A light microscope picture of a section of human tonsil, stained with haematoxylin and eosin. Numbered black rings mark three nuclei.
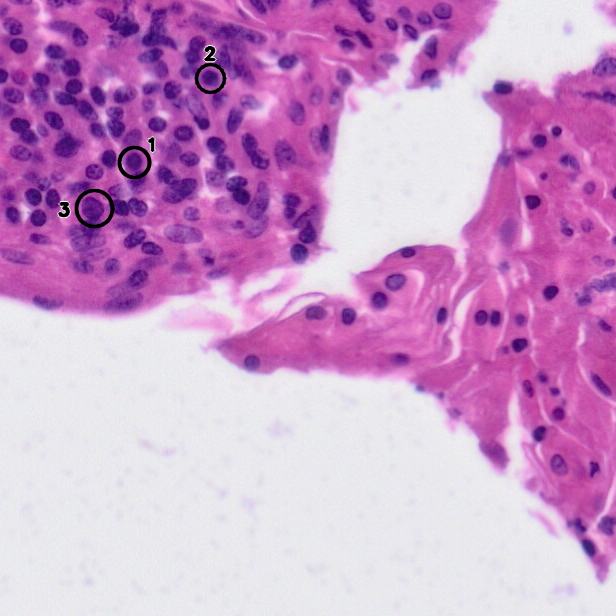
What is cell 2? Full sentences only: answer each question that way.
What the number 2 marks in this field is a plasma cell.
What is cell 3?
The one labeled 3 is a squamous epithelial cell, to put it simply.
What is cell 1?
Number 1 is placed on a plasma cell here.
